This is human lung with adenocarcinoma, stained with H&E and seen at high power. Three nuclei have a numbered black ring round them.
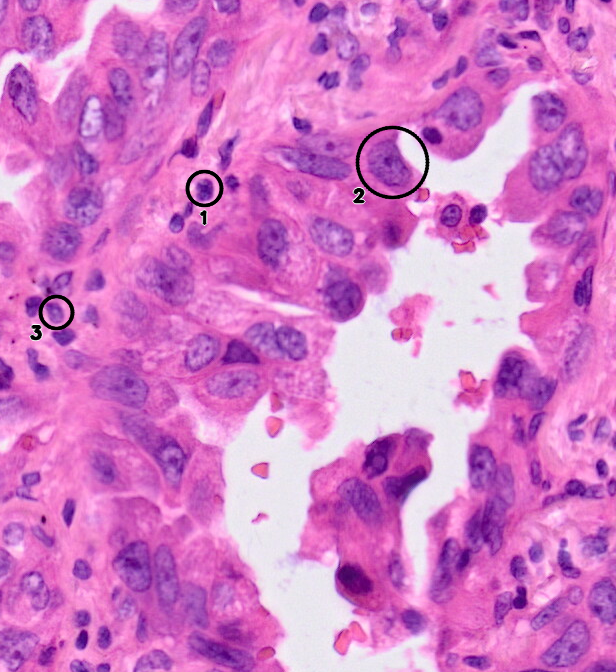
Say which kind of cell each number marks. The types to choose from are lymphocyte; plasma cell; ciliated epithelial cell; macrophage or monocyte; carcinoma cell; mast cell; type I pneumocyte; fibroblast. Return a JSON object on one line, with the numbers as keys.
{"1": "lymphocyte", "2": "carcinoma cell", "3": "lymphocyte"}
